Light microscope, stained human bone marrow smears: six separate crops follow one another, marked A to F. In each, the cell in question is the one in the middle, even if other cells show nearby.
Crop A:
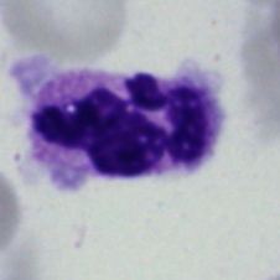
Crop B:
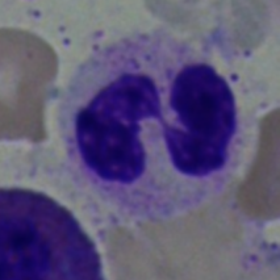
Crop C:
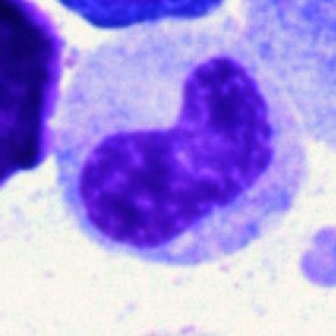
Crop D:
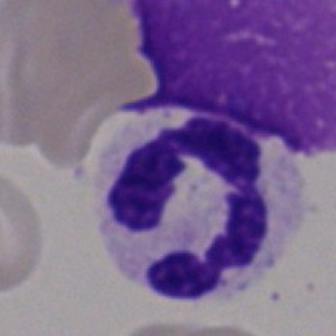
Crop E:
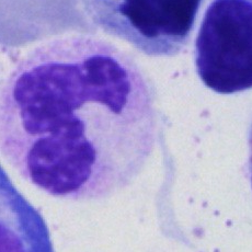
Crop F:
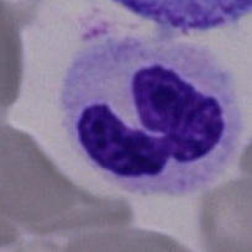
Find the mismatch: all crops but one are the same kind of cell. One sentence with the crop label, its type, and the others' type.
The different crop is C; it is a band neutrophil, and the others all show segmented neutrophils.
